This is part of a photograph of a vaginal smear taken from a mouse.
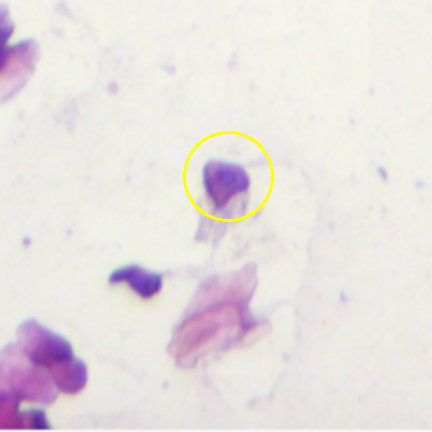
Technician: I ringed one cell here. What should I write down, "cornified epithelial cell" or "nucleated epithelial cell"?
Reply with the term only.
nucleated epithelial cell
